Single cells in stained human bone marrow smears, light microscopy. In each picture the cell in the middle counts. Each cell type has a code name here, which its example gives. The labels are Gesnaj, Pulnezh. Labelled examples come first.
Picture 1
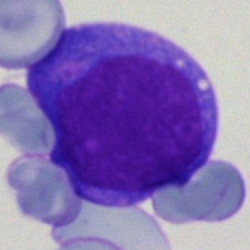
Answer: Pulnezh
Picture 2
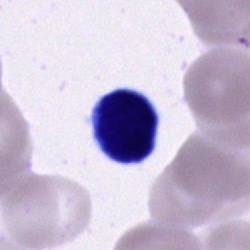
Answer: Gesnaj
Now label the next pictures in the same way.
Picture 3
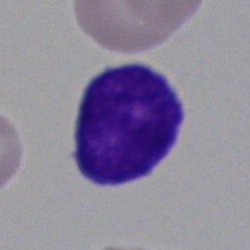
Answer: Pulnezh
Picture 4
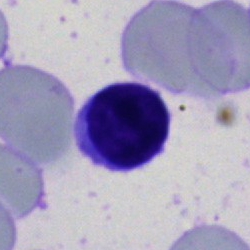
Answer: Gesnaj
